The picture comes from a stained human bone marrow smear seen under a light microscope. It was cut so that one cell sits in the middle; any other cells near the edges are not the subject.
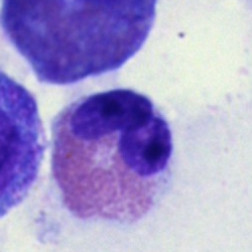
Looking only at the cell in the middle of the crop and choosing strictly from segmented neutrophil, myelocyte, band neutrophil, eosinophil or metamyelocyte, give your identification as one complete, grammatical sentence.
The centrally positioned cell in the crop represents an eosinophil.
